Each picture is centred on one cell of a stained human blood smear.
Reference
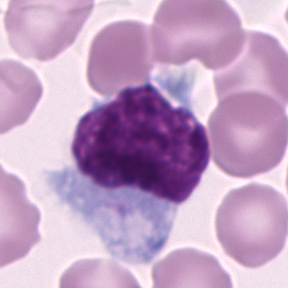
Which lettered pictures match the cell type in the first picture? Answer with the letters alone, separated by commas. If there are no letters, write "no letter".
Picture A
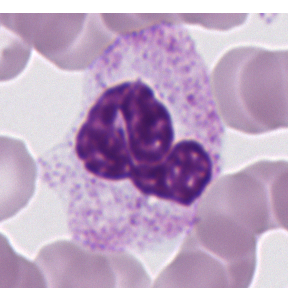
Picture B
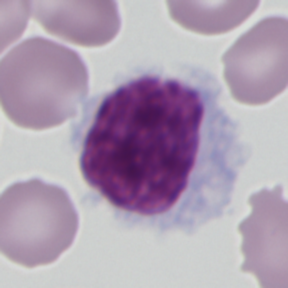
B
